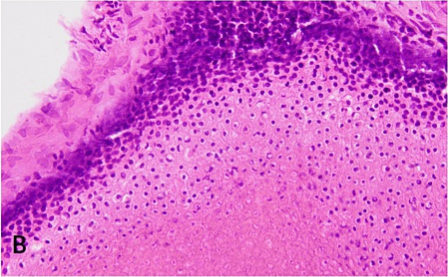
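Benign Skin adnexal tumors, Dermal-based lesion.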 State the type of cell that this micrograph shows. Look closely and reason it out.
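Large pale pink cells fill the lower part of the panel. They lie deep to a layer of small dark blue cells.
Answer: ghost cells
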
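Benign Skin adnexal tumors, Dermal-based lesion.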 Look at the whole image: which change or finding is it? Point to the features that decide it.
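A band of small, densely basophilic cells runs along the edge of the lesion.
Conclusion: Pilomatricoma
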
